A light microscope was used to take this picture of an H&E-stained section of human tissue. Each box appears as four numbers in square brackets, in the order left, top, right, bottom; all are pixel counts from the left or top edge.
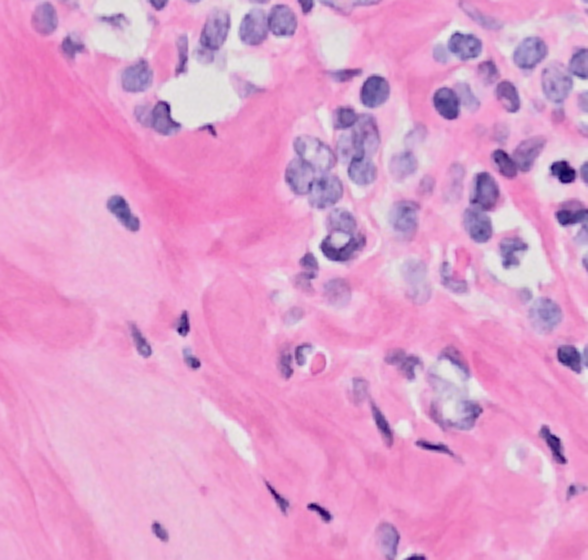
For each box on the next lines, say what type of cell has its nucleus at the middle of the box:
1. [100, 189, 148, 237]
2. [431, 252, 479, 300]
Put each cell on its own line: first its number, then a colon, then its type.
1: lymphocyte
2: endothelial cell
